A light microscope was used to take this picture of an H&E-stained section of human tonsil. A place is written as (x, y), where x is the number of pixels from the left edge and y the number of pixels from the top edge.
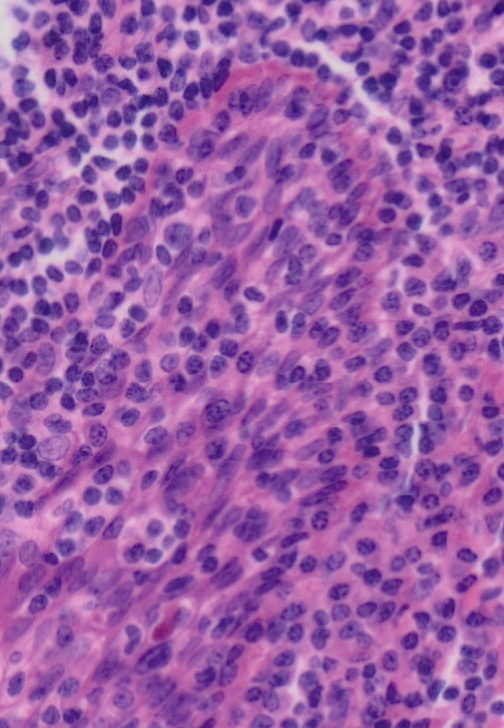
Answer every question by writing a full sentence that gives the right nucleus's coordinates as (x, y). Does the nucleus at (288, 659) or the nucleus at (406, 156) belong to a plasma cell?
Among the two nuclei, the one found at (288, 659) belongs to a plasma cell.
